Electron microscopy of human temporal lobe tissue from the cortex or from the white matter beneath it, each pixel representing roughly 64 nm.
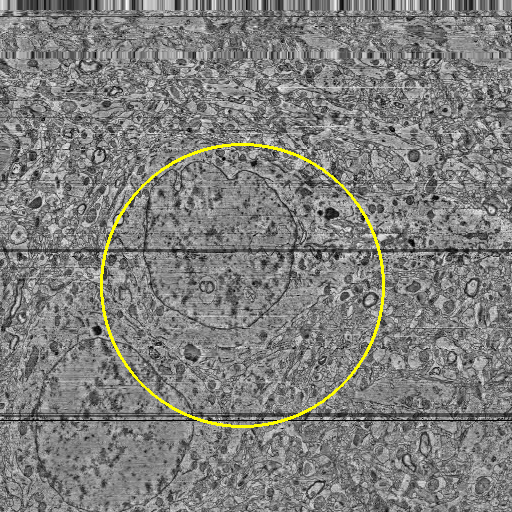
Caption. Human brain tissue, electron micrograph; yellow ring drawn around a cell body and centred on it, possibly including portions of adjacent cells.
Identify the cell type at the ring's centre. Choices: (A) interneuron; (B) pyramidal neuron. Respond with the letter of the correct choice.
B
